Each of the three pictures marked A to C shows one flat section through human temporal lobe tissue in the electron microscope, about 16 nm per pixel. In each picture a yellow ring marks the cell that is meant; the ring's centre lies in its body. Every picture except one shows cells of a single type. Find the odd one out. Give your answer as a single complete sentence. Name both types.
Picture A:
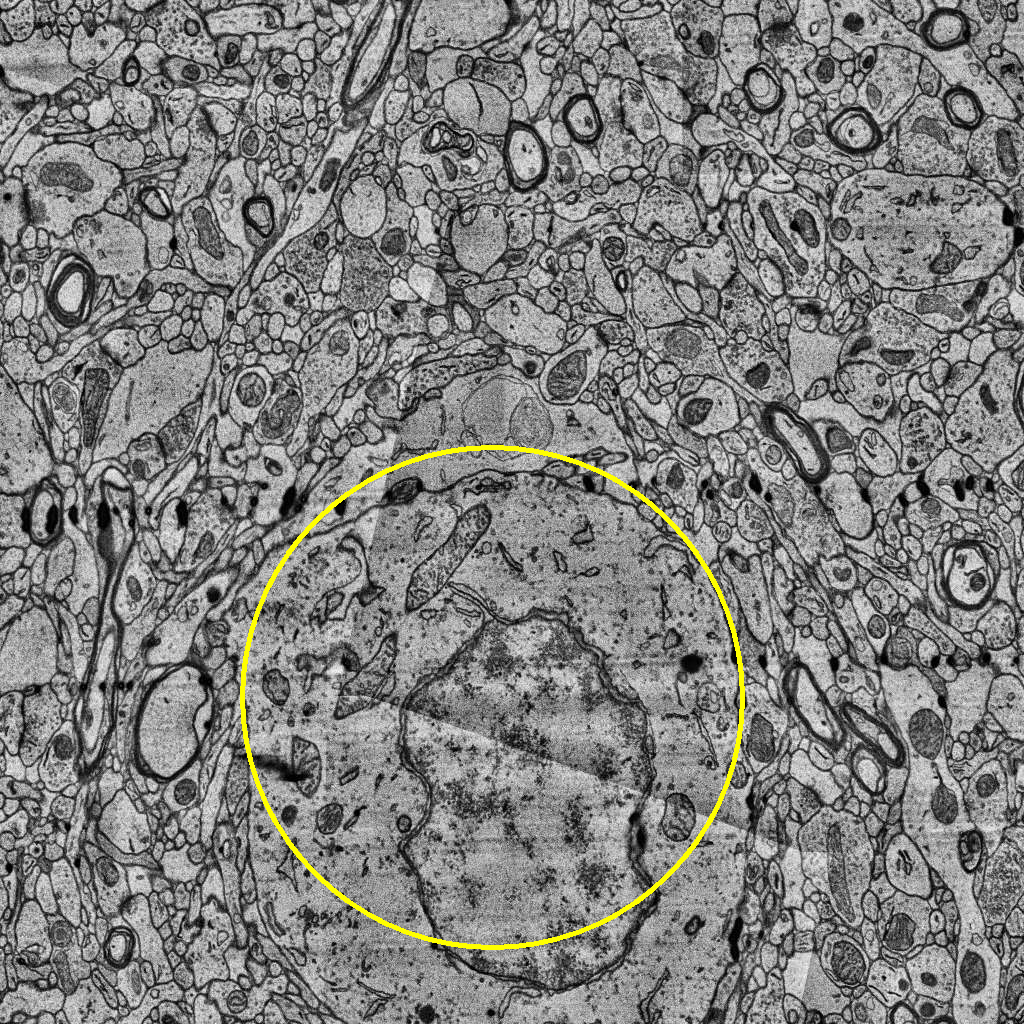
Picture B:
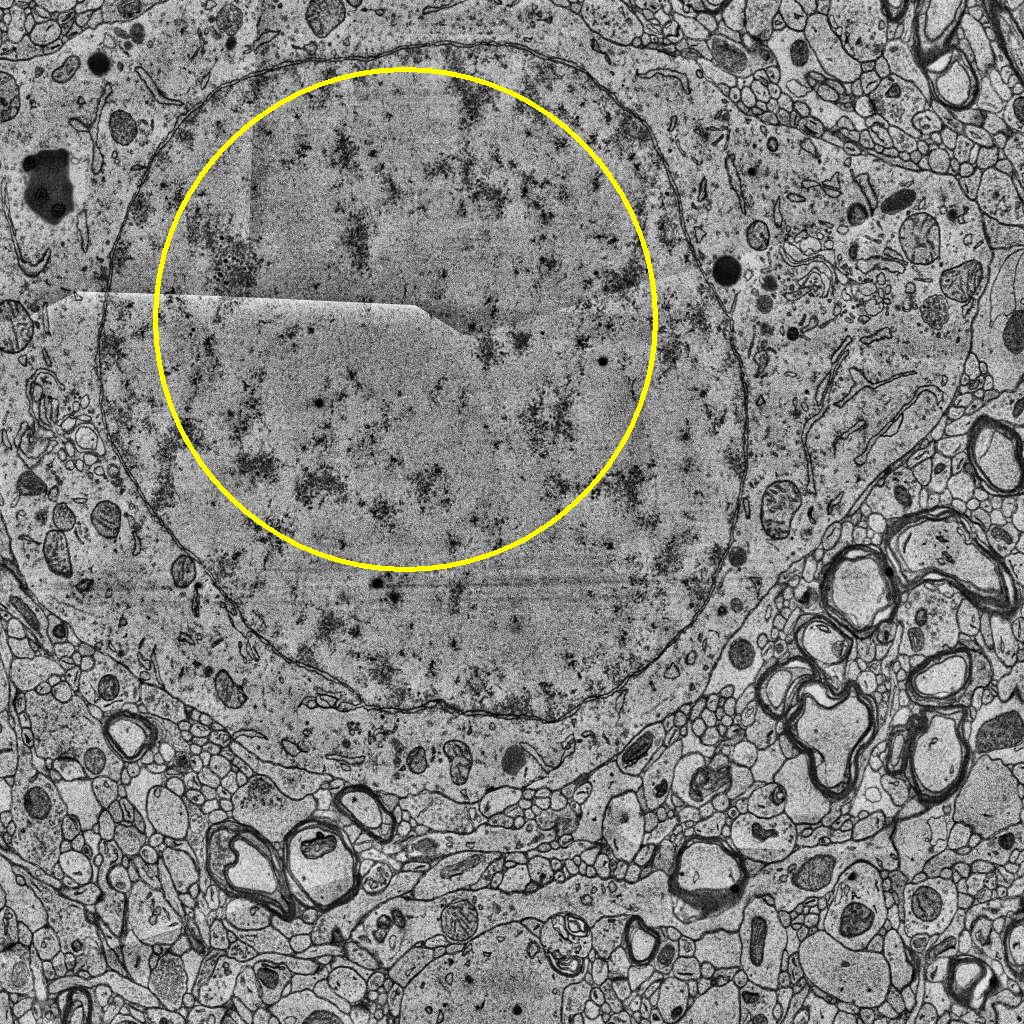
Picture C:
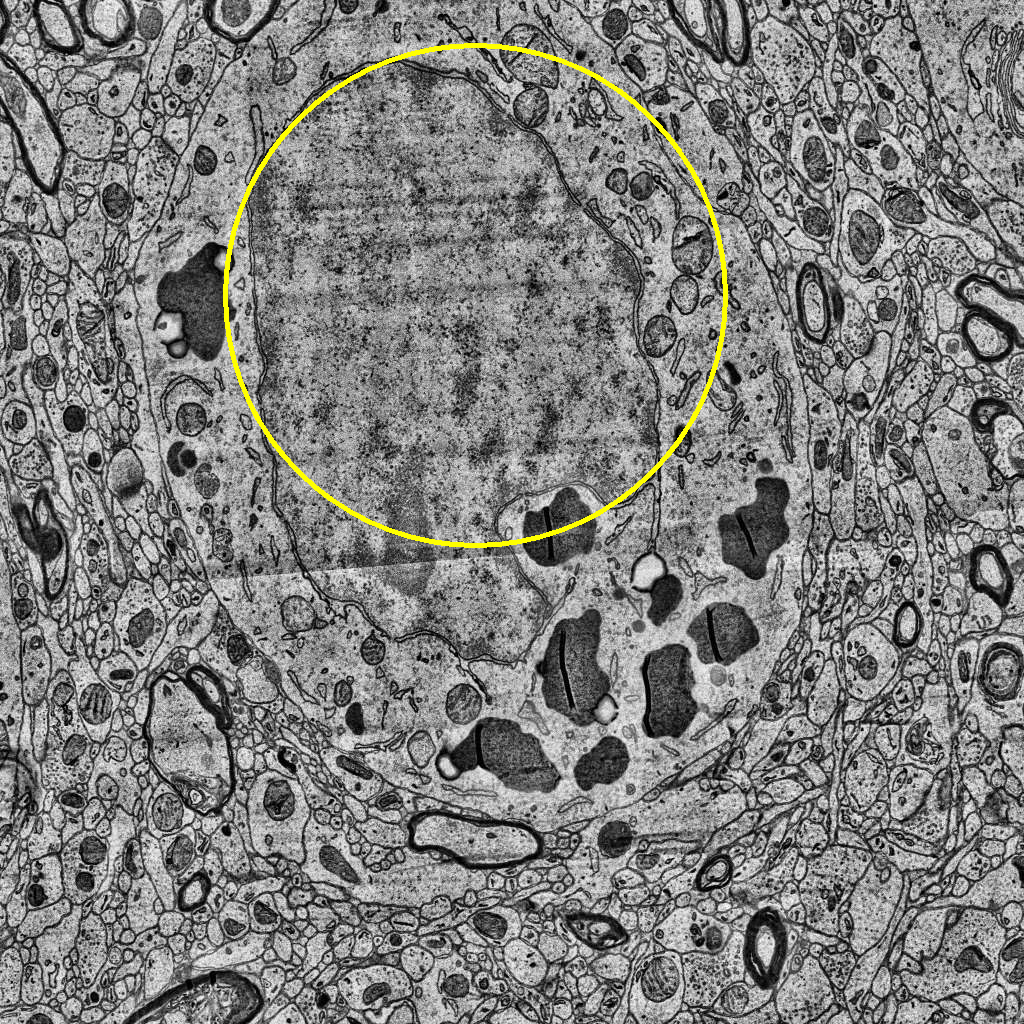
Picture C is the odd one out: it shows an interneuron, while the others show pyramidal neurons.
